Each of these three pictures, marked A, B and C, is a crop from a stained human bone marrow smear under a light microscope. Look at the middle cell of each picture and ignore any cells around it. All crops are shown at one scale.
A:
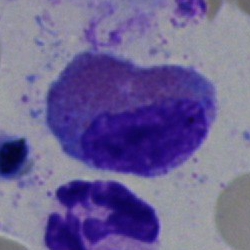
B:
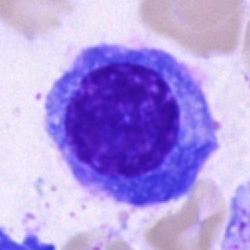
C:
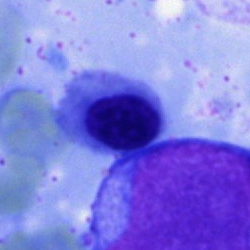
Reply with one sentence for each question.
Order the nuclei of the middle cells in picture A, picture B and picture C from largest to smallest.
From the largest down, the order is B, A, C.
